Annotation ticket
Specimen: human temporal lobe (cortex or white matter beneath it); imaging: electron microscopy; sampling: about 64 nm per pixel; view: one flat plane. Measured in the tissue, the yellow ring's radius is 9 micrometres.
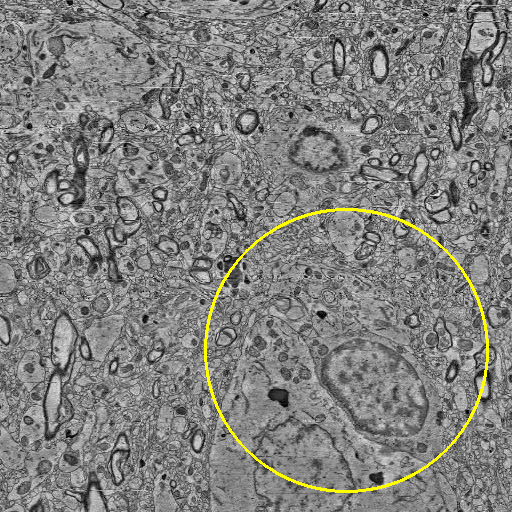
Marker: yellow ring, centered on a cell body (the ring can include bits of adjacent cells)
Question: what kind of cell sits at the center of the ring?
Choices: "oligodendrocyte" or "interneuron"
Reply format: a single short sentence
The ring is centered on an oligodendrocyte.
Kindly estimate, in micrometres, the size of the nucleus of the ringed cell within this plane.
The ringed cell's nucleus measures approximately 8 by 5 micrometres in this plane.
